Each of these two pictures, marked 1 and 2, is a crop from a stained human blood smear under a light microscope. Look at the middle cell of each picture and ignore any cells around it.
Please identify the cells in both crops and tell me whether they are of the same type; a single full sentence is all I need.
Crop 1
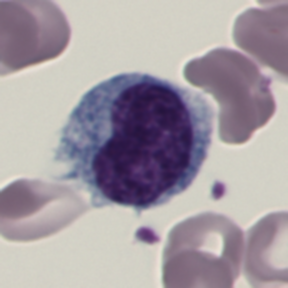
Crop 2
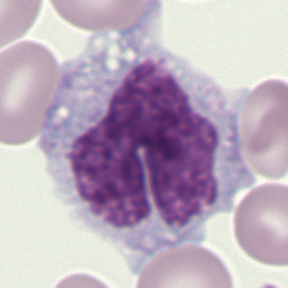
Yes, both crops show monocytes, the one and the other.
